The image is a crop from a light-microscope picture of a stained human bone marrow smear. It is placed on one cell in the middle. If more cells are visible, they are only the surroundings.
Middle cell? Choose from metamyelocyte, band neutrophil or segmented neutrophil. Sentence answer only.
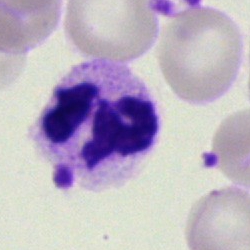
The identification for the central cell is a segmented neutrophil.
